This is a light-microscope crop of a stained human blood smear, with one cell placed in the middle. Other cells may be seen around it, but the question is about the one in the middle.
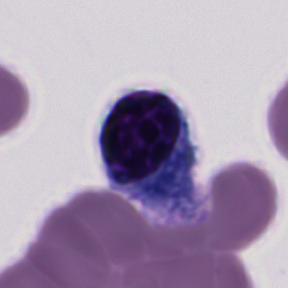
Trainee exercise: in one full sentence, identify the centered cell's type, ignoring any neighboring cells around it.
The cell nearest the centre of this crop is a plasma cell.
